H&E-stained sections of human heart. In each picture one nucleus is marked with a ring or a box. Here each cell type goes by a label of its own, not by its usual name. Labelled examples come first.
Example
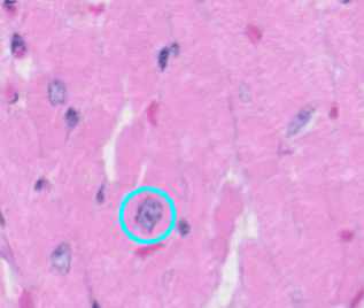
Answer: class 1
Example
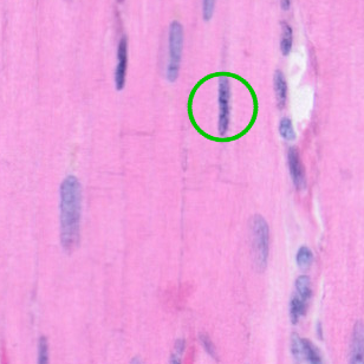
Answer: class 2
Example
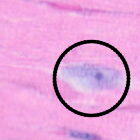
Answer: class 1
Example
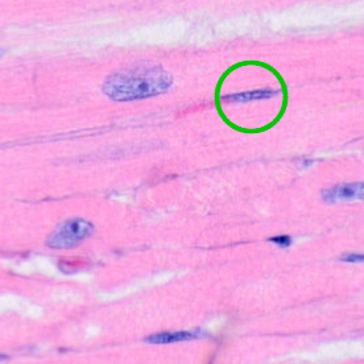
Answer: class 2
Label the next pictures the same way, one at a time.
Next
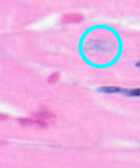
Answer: class 1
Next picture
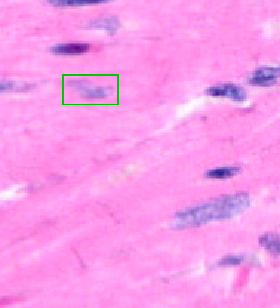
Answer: class 1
